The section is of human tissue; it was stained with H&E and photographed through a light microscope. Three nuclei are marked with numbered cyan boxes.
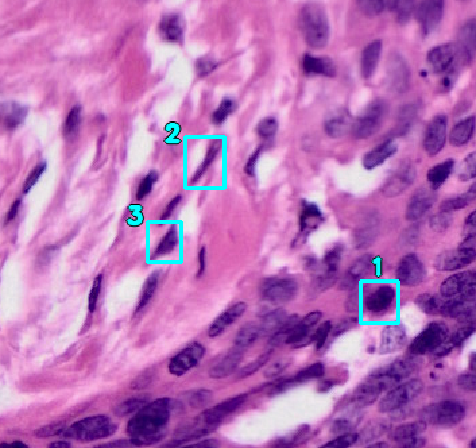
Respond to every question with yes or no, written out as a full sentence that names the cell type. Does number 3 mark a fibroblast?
Yes, the numbered nucleus 3 is that of a fibroblast.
